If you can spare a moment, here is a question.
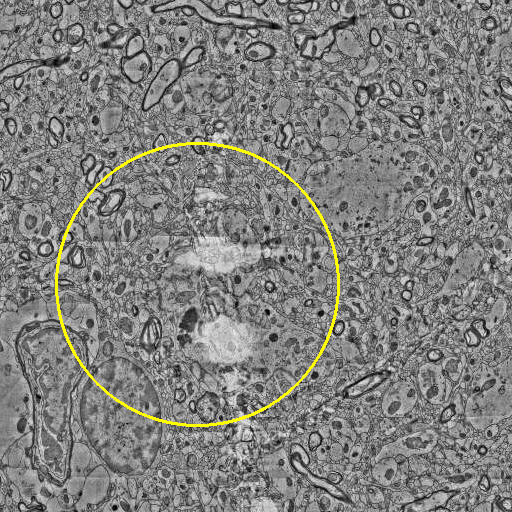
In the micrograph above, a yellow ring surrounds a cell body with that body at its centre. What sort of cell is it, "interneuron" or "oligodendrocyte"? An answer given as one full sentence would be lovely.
Centred inside the yellow ring, the cell body shown belongs to an interneuron in this micrograph.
